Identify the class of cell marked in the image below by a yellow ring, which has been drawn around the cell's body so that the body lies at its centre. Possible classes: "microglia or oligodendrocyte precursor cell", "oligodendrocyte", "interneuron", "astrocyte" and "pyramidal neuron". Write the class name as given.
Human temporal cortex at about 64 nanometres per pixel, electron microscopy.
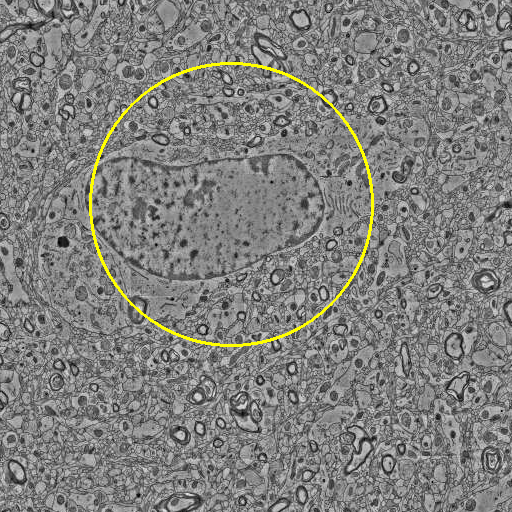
microglia or oligodendrocyte precursor cell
